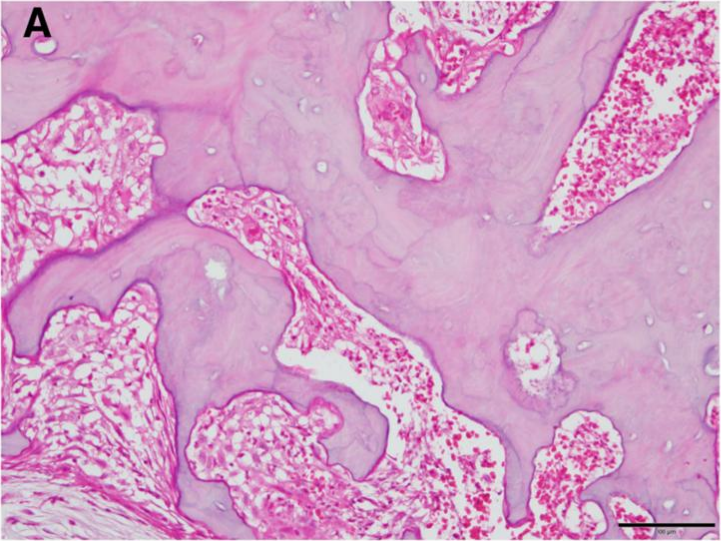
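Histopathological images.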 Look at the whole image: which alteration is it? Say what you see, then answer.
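The pink bone matrix holds lacunae that mostly look empty, without nuclei. The bone matrix stains pale and smudged rather than crisp. That points to this answer: osteocyte necrosis.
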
